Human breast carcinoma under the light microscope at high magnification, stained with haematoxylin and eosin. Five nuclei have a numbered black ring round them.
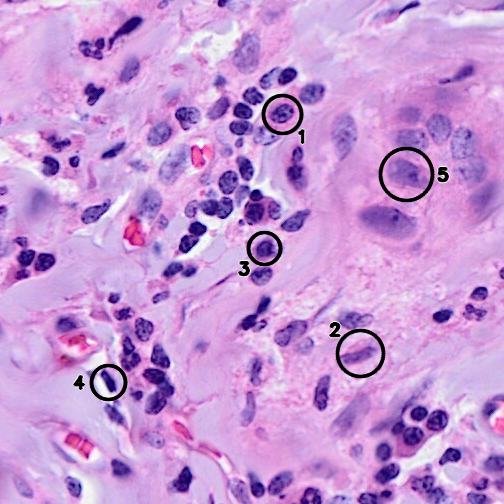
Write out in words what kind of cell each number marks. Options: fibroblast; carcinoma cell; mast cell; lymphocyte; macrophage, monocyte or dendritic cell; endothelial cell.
Cell 1 is a mast cell. Cell 2 is a macrophage, monocyte or dendritic cell. Cells 3 and 4 are lymphocytes. Cell 5 is a carcinoma cell.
